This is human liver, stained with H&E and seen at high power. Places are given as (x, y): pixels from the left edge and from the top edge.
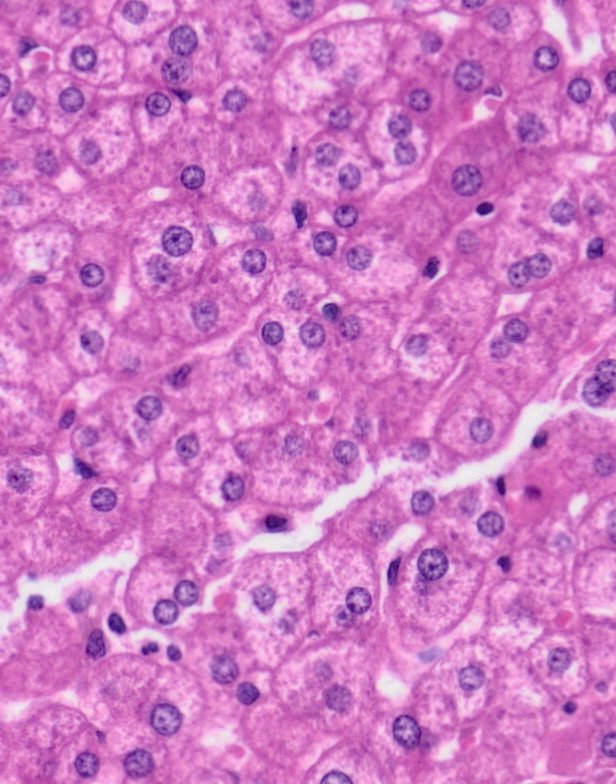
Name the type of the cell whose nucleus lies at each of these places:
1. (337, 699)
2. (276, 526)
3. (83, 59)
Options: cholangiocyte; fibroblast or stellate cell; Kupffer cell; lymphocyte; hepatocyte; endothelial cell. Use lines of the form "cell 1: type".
cell 1: hepatocyte
cell 2: Kupffer cell
cell 3: hepatocyte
